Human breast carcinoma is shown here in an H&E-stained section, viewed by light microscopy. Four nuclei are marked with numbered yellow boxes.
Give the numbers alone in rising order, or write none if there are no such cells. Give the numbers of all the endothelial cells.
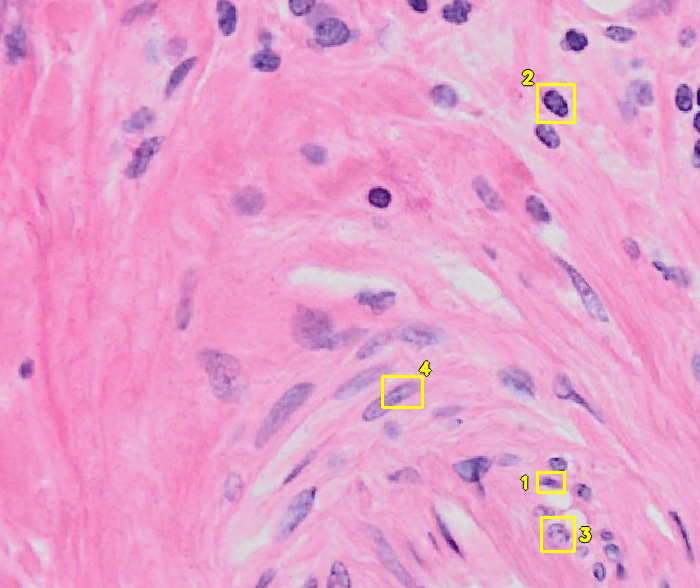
1, 3, 4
